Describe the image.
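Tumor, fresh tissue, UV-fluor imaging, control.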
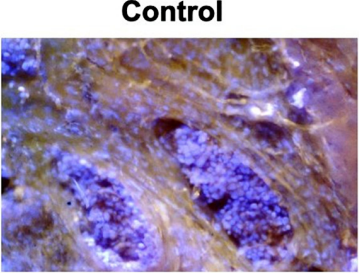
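Oval nests of densely packed, bright purple cells are surrounded by wavy yellowish-brown bands of collagen fibres that run between and around them. Darker, shadowed areas lie between the nests and the fibre bands.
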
